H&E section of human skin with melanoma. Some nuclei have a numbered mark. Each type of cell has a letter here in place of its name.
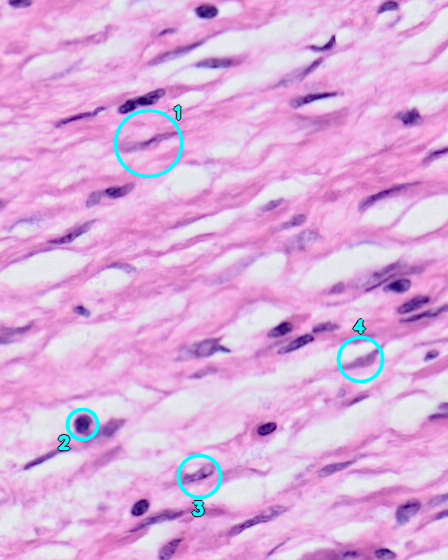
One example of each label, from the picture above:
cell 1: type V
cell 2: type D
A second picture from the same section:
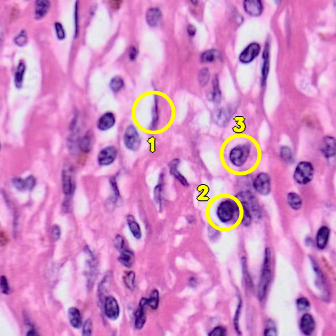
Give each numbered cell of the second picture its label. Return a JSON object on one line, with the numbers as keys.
{"1": "type V", "2": "type D", "3": "type D"}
